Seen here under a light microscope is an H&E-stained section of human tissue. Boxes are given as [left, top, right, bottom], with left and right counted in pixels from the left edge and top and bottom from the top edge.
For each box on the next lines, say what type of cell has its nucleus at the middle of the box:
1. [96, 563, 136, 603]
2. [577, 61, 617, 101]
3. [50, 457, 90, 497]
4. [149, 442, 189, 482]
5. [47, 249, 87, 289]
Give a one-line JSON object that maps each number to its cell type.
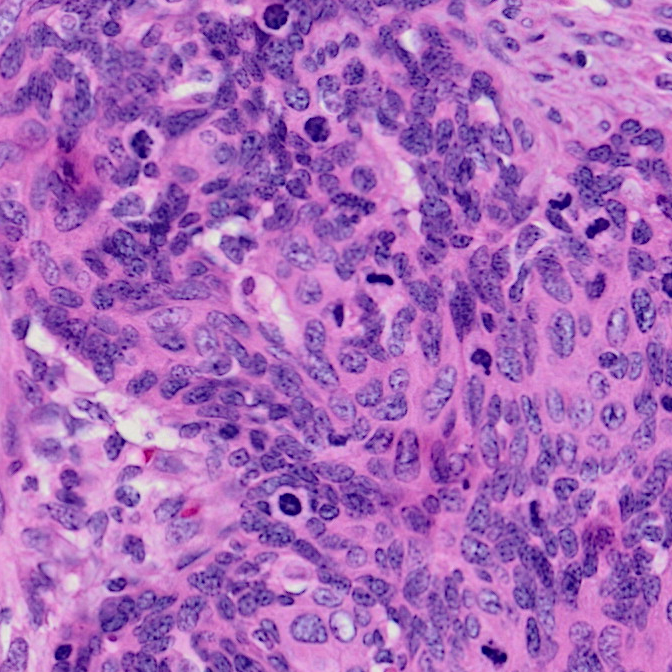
{"1": "lymphocyte", "2": "smooth muscle cell", "3": "lymphocyte", "4": "endothelial cell", "5": "squamous carcinoma cell"}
